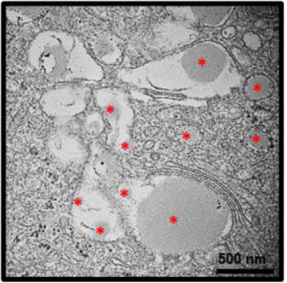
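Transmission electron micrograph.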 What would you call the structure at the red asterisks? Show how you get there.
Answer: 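Round, homogeneous grey particles lie inside pale membrane-bound vesicles. Stacked flattened membrane cisternae lie beside the vesicles. Some particles are large, filling much of their vesicle. That points to this answer: Chylomicrons.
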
